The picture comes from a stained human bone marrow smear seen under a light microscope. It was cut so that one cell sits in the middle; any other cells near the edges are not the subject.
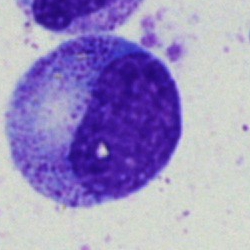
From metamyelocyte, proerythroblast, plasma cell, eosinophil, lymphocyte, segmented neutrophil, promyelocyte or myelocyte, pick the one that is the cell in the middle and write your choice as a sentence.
Classified as a metamyelocyte is the cell in the middle of this crop.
